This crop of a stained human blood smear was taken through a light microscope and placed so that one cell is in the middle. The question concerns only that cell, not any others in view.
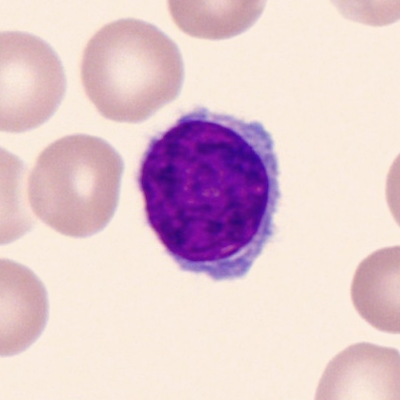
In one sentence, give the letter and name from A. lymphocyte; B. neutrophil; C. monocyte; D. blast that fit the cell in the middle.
Option A is the right one, for the cell in the middle is a lymphocyte.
